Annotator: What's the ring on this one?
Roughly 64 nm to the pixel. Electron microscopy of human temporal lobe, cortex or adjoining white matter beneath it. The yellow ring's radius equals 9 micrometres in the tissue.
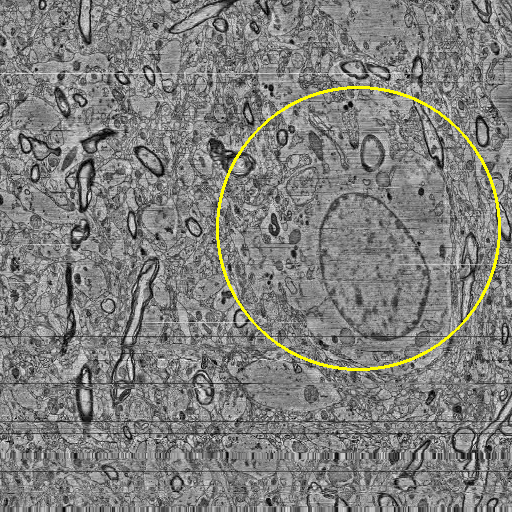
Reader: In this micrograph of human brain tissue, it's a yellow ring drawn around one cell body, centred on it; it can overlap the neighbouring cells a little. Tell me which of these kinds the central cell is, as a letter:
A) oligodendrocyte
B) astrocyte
B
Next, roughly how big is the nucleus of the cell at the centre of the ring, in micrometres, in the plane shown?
About 10 by 7 micrometres in this plane; clearly longer than it is wide.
